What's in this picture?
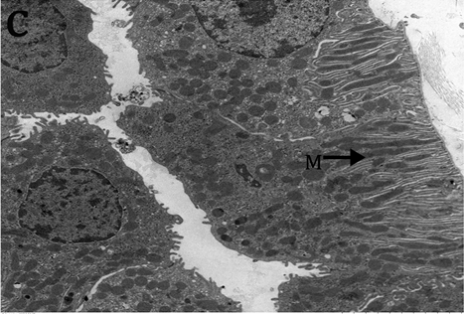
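This electron micrograph shows renal tubular epithelial cells bordering a narrow, pale lumen. The cells have large oval nuclei with finely dispersed chromatin and slightly darker patches along the nuclear envelope. Their cytoplasm is crowded with numerous dark oval and rod-shaped mitochondria. Toward one cell surface, long slender profiles are packed in tight parallel arrays, giving a striated appearance. The lumen between the cells on the left is a pale cleft containing a little scattered debris.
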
